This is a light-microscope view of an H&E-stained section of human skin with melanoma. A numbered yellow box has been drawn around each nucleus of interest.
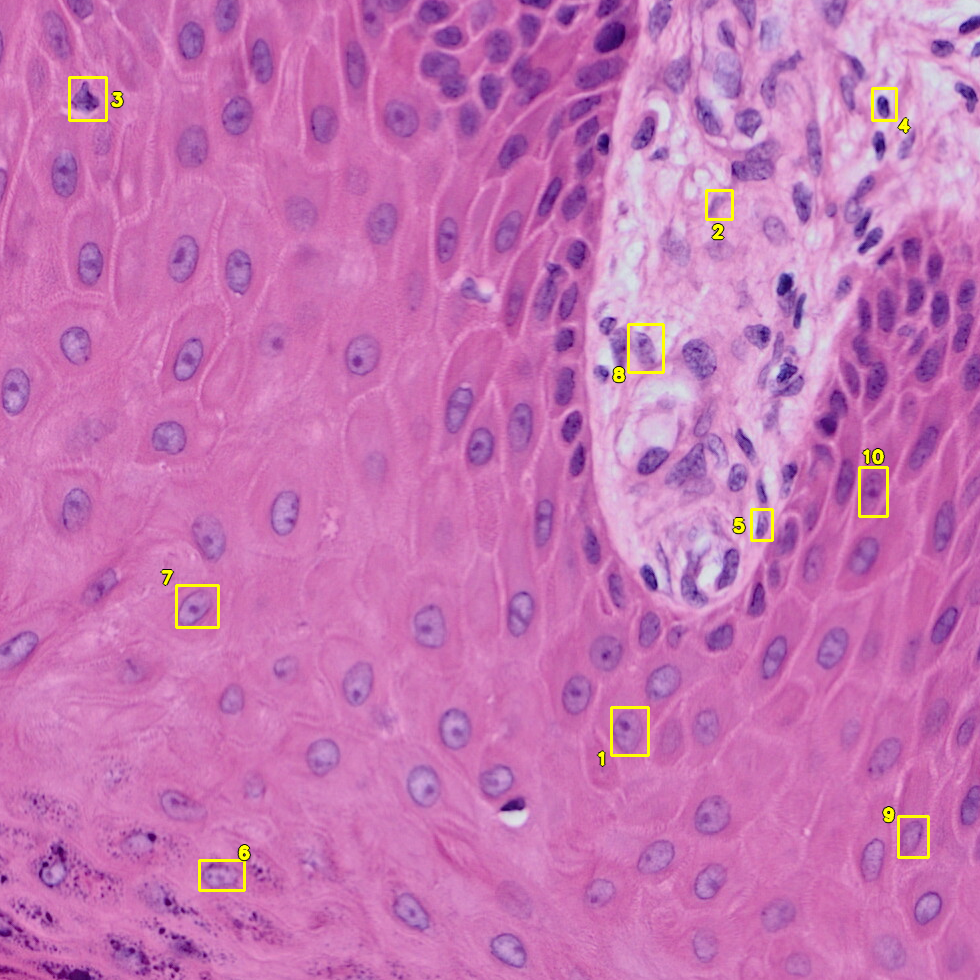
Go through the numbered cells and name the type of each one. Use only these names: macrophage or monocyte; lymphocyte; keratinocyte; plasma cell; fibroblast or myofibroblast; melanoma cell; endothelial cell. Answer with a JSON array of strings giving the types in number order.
["keratinocyte", "fibroblast or myofibroblast", "keratinocyte", "lymphocyte", "fibroblast or myofibroblast", "keratinocyte", "keratinocyte", "fibroblast or myofibroblast", "keratinocyte", "keratinocyte"]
